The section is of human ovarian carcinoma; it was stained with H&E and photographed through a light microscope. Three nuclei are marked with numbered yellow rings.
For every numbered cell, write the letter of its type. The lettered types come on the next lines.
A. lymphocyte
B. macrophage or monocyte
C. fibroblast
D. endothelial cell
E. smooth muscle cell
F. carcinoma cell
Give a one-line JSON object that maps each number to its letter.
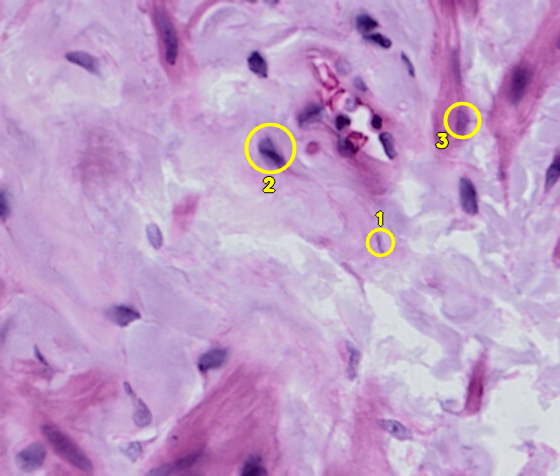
{"1": "C", "2": "C", "3": "E"}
